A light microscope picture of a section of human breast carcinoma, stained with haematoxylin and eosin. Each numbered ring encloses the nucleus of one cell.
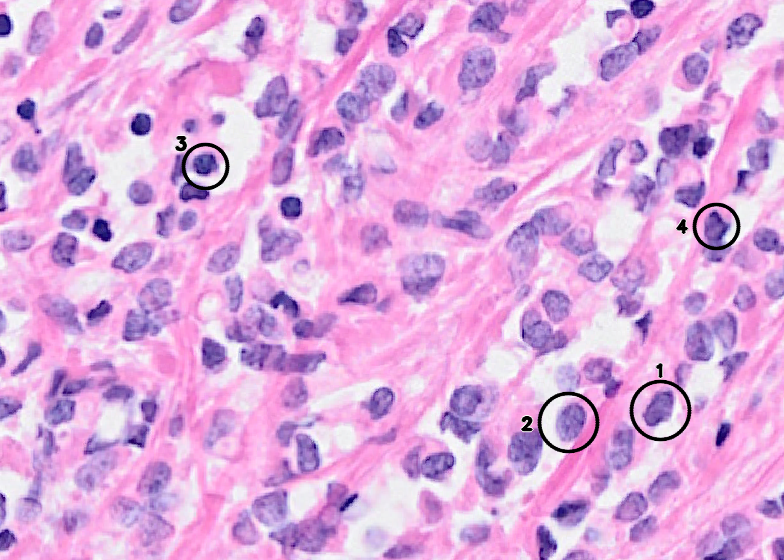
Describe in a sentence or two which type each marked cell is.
Cells 1, 2 and 4 are carcinoma cells. Cell 3 is a lymphocyte.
